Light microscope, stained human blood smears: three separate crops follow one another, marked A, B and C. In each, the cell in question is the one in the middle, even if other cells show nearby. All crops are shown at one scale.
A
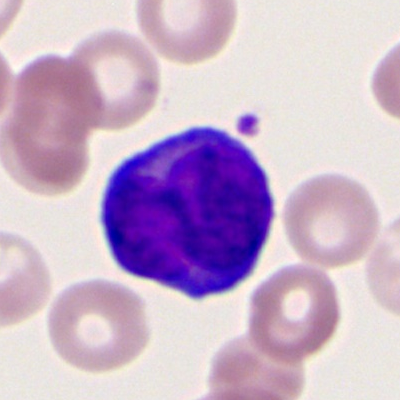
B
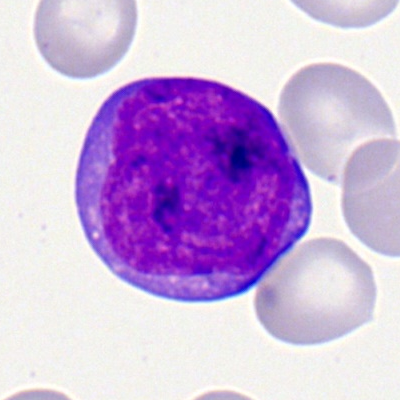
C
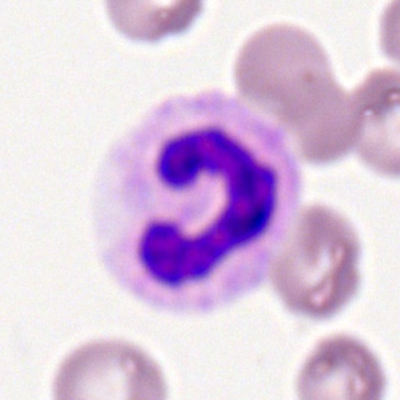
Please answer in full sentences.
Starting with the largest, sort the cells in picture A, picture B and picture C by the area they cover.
From the largest down, the order is B, C, A.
